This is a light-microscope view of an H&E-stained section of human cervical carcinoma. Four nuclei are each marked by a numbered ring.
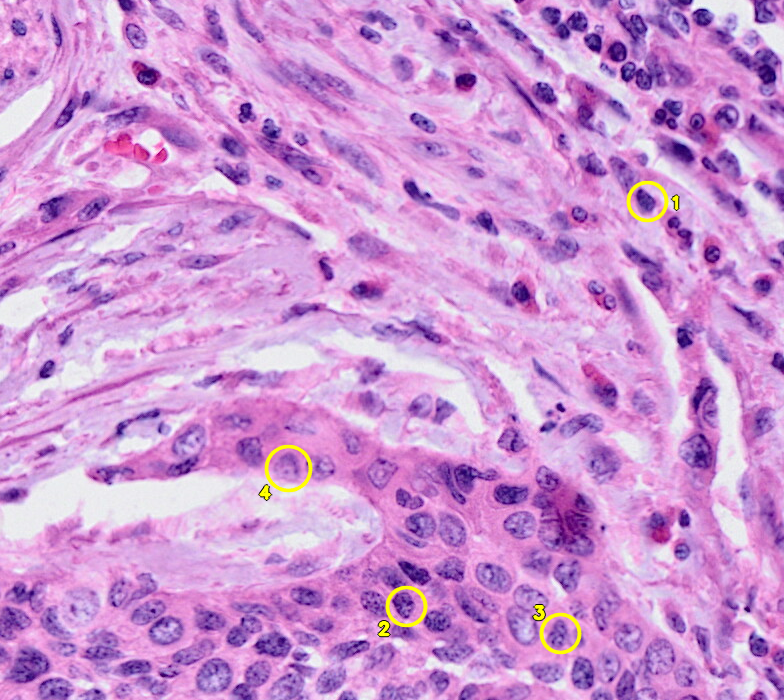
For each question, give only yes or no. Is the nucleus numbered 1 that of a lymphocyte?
yes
